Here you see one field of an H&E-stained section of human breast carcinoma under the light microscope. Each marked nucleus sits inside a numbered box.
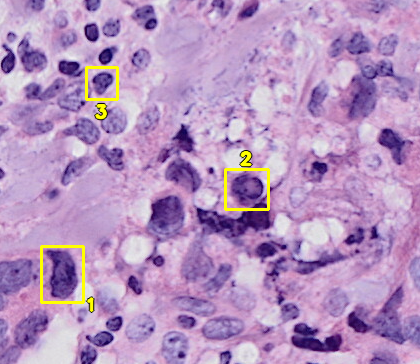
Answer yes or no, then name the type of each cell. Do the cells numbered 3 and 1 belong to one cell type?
No, cell 3 is a lymphocyte and cell 1 is a carcinoma cell.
